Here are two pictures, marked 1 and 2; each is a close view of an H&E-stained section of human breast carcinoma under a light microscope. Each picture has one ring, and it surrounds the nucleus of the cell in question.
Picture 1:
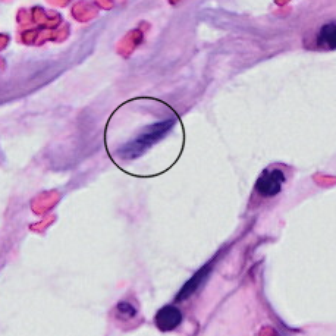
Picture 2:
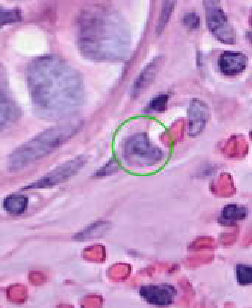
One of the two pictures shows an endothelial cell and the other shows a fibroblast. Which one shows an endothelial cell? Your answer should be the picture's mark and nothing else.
2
